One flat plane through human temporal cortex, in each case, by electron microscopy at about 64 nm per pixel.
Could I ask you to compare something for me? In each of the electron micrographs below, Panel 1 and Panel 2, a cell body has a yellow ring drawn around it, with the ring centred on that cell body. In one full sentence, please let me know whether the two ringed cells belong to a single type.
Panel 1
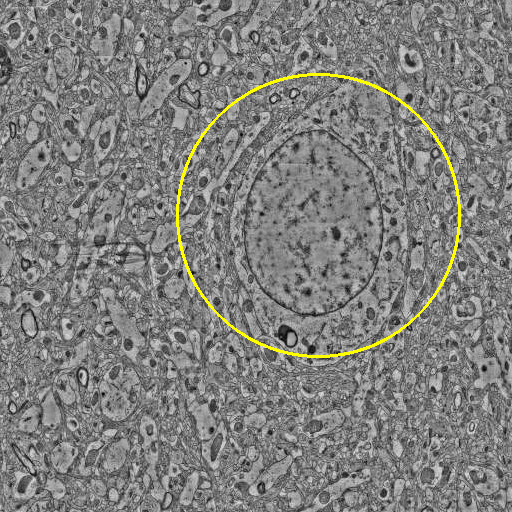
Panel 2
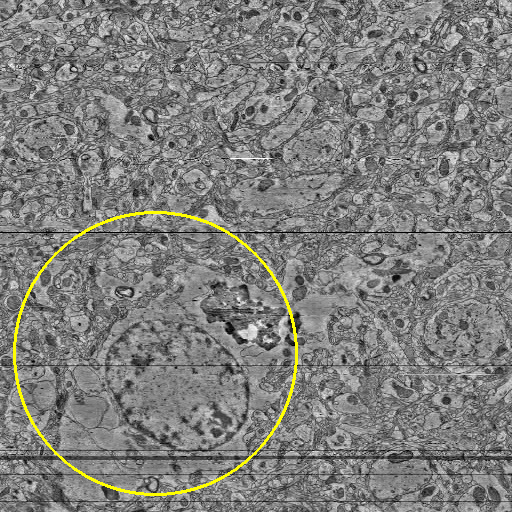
No, the two cells at the centres of the rings are of two types.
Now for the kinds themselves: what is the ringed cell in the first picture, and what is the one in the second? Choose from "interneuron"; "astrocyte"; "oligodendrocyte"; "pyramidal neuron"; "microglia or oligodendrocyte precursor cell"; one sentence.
Here the first cell is a pyramidal neuron and the second cell is an astrocyte.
